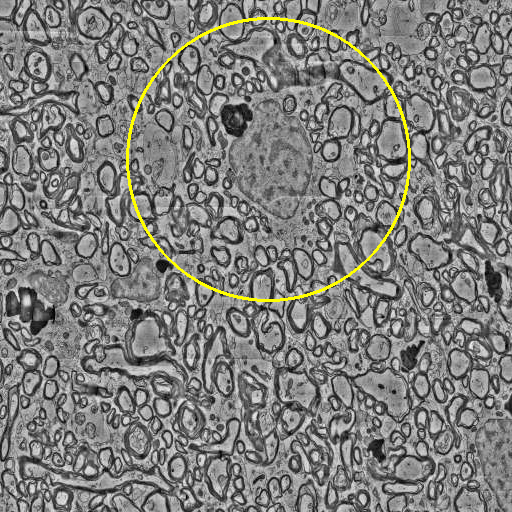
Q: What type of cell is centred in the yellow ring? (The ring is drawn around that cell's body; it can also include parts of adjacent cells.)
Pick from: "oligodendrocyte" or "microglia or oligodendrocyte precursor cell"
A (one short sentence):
The yellow ring is centred on an oligodendrocyte.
